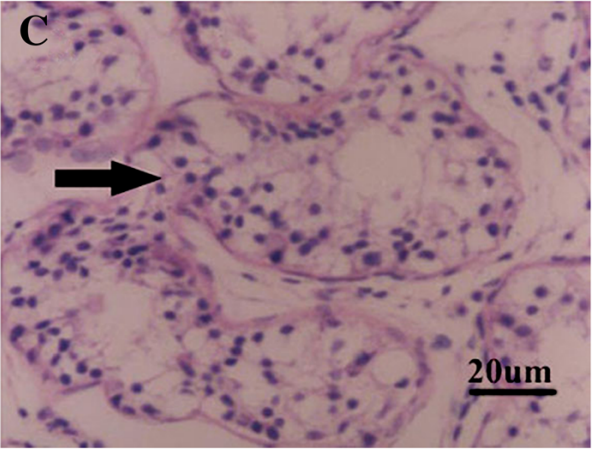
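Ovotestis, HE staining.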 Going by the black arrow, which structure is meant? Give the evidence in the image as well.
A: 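The arrow points to the edge of a large rounded tubule bounded by a thin pink membrane. Cells with round dark nuclei line the inside of the tubule wall. Several such tubules lie side by side with little tissue between them.
Hence: seminiferous tubules.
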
